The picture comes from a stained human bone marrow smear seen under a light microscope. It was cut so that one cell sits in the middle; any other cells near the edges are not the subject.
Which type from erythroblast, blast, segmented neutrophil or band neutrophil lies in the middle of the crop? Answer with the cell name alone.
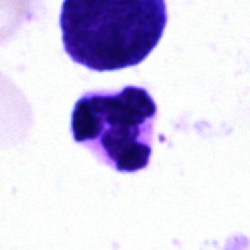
segmented neutrophil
